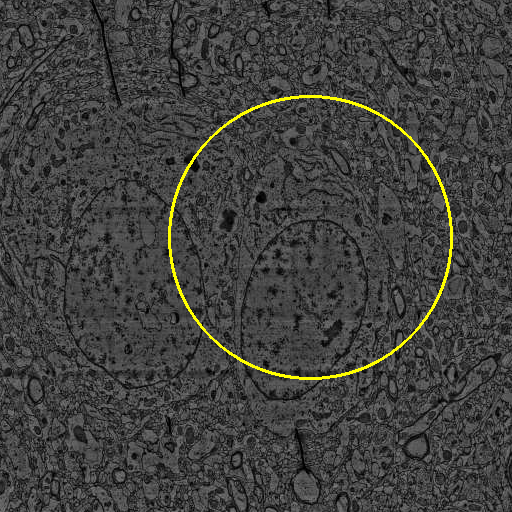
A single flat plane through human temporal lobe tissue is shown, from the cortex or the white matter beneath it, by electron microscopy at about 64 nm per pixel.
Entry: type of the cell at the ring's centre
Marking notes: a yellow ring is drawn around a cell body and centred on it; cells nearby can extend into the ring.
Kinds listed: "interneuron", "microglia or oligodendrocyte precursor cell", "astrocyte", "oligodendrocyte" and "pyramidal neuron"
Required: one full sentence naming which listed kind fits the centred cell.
My entry names a pyramidal neuron as the cell whose body the yellow ring centres on.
